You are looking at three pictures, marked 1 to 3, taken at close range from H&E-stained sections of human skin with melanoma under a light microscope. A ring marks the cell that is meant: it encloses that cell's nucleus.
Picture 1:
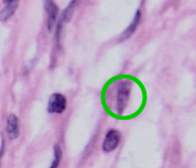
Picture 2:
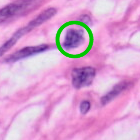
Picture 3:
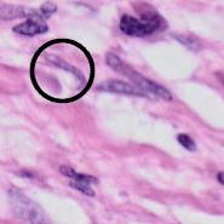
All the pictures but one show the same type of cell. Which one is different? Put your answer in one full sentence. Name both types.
All pictures except 2 show “fibroblasts or myofibroblasts”; picture 2 shows a lymphocyte.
